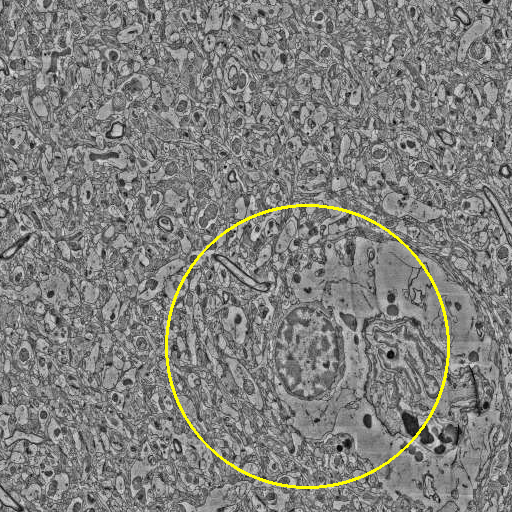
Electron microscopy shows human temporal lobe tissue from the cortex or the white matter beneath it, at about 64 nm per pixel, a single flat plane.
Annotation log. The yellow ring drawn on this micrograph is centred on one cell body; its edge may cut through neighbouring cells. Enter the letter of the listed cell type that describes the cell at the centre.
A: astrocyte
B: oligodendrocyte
B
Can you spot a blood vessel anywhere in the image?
Yes, there is one.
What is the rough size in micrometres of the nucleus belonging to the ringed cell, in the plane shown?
In this plane, approximately 6 by 4 micrometers.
